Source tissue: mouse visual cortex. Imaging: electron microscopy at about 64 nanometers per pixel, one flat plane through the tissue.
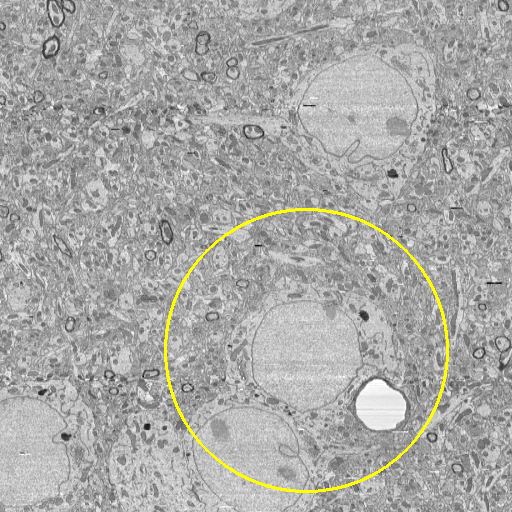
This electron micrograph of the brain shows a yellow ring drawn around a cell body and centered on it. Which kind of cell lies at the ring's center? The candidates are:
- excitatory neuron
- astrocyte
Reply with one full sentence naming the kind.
The cell lying at the ring's center in this micrograph is an excitatory neuron.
